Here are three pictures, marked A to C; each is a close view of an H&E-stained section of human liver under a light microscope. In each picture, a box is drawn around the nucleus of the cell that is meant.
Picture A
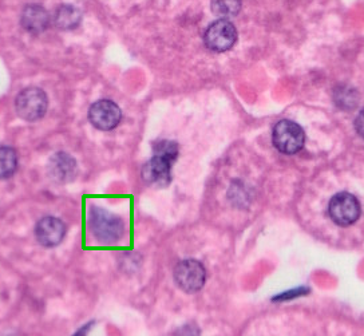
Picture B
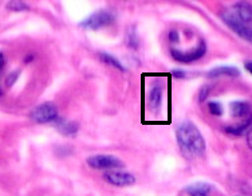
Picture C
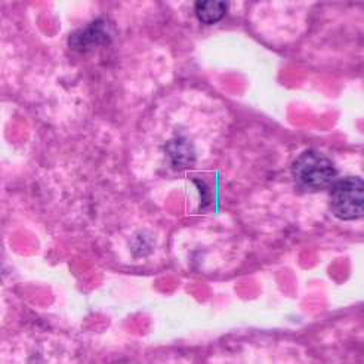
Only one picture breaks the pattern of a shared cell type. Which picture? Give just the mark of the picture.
B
